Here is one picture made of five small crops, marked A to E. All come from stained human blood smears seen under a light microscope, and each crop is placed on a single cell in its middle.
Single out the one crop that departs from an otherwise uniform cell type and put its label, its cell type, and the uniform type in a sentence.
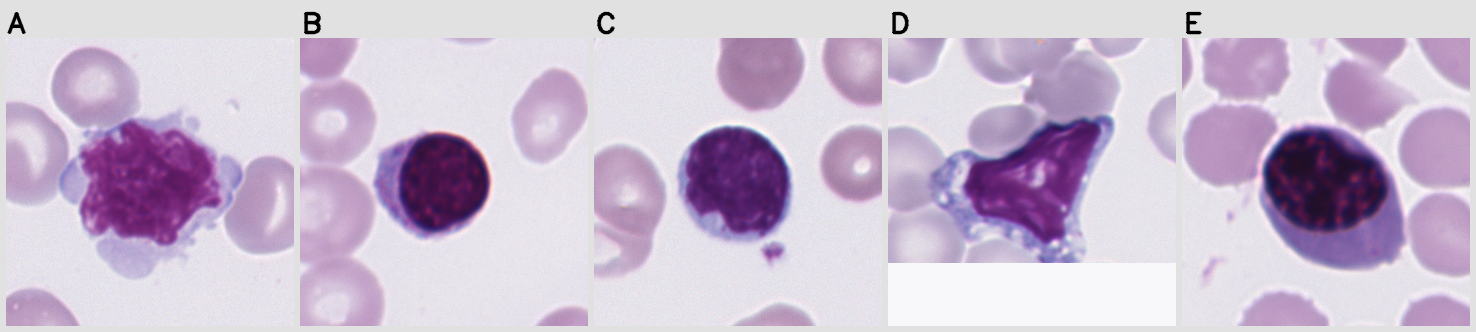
The single exception is crop E, which is a normoblast; all other crops show typical lymphocytes.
